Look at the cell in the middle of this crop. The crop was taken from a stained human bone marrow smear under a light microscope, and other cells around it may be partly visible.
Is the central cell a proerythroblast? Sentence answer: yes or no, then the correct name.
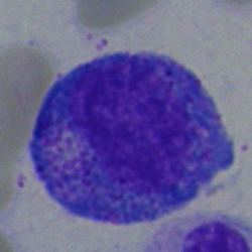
No, the label for the central cell is a promyelocyte, not a proerythroblast.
